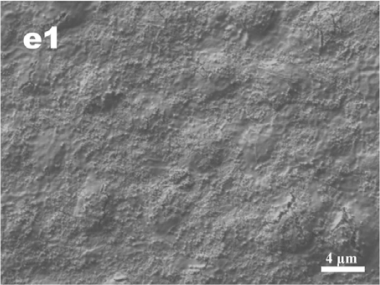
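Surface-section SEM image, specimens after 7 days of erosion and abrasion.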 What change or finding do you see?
Dentine tubules were occluded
